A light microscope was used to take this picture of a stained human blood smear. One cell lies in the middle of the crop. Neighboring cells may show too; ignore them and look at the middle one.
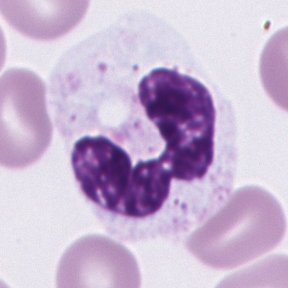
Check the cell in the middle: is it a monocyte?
no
